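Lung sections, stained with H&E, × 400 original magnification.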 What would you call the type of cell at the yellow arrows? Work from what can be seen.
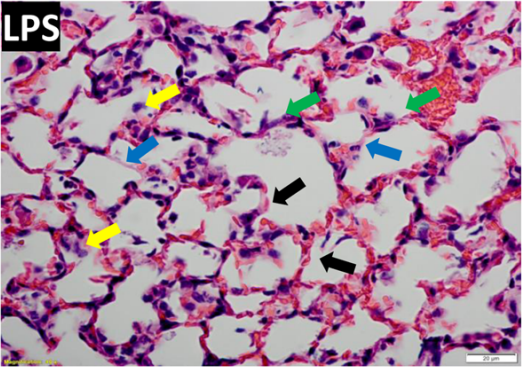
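Neutrophils. Small cells with dark purple nuclei lie free in the air spaces.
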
